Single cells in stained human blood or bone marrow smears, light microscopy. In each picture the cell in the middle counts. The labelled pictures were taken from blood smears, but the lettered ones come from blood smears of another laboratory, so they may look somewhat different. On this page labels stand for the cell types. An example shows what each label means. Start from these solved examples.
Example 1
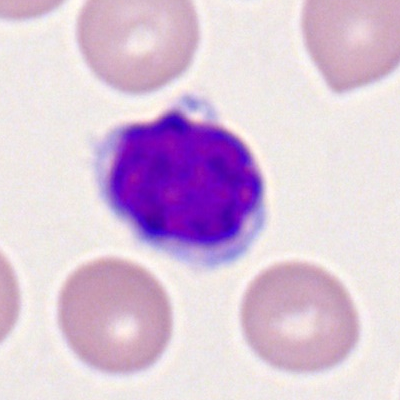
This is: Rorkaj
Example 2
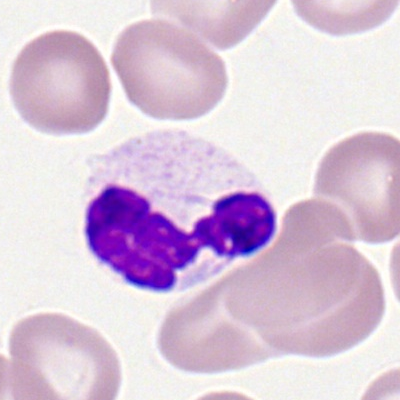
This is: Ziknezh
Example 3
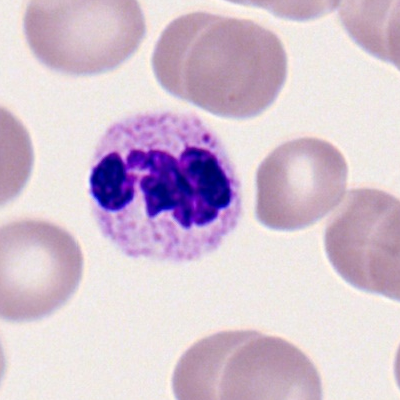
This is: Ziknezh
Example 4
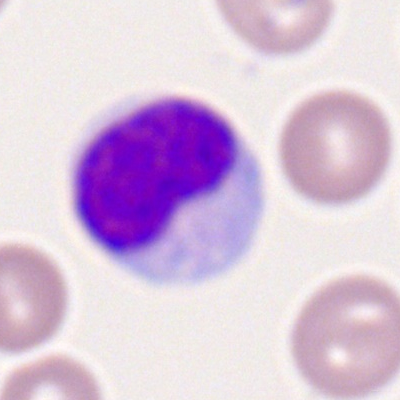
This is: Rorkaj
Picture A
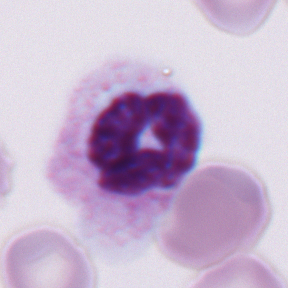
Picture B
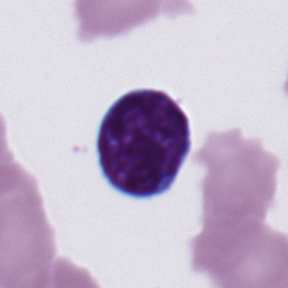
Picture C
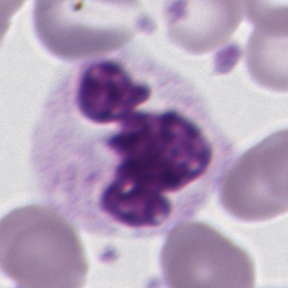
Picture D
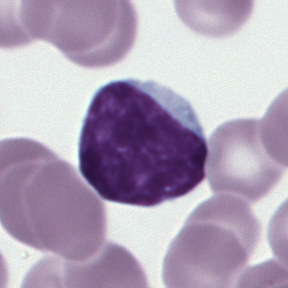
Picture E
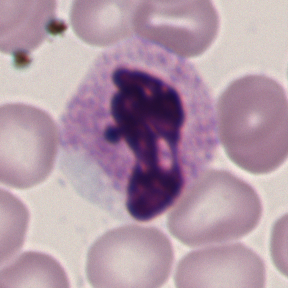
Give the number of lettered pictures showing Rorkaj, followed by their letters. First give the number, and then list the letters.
Count: 2 (B, D)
